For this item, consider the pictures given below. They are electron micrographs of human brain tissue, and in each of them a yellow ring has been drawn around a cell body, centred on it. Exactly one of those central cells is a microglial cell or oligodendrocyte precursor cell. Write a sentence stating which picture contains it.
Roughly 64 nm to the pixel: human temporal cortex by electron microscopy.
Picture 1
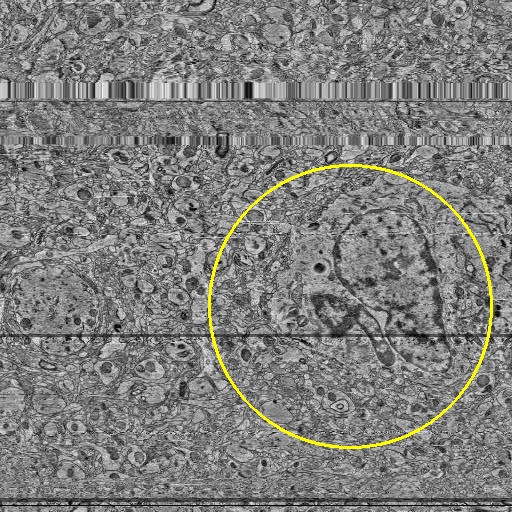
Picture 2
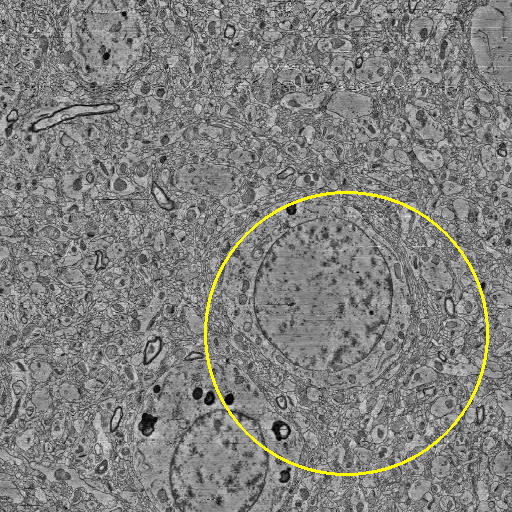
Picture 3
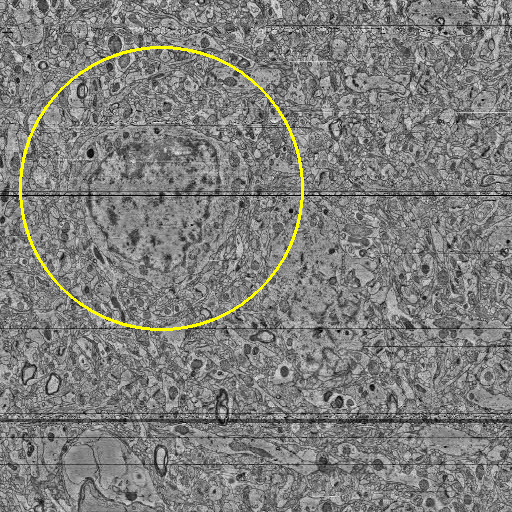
It is in Picture 1.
